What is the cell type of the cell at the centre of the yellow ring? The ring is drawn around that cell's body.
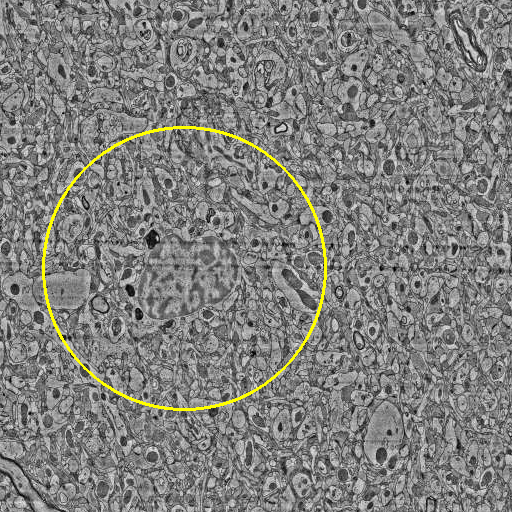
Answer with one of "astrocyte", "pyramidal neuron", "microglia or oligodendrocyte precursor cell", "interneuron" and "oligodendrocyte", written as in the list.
microglia or oligodendrocyte precursor cell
